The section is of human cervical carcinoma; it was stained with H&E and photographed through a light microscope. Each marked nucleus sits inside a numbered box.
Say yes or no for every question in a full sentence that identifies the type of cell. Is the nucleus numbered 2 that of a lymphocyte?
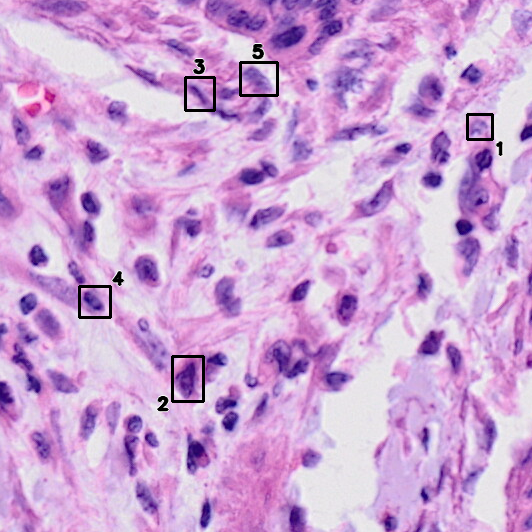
No, cell 2 is not a lymphocyte; a macrophage or monocyte is the correct identification.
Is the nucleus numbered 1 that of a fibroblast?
No, number 1 is assigned to a macrophage or monocyte, not to a fibroblast.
